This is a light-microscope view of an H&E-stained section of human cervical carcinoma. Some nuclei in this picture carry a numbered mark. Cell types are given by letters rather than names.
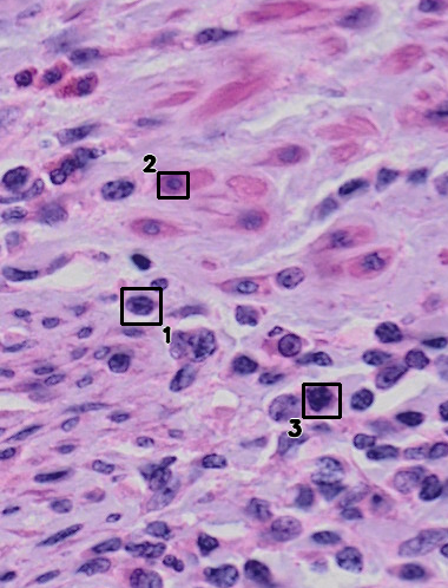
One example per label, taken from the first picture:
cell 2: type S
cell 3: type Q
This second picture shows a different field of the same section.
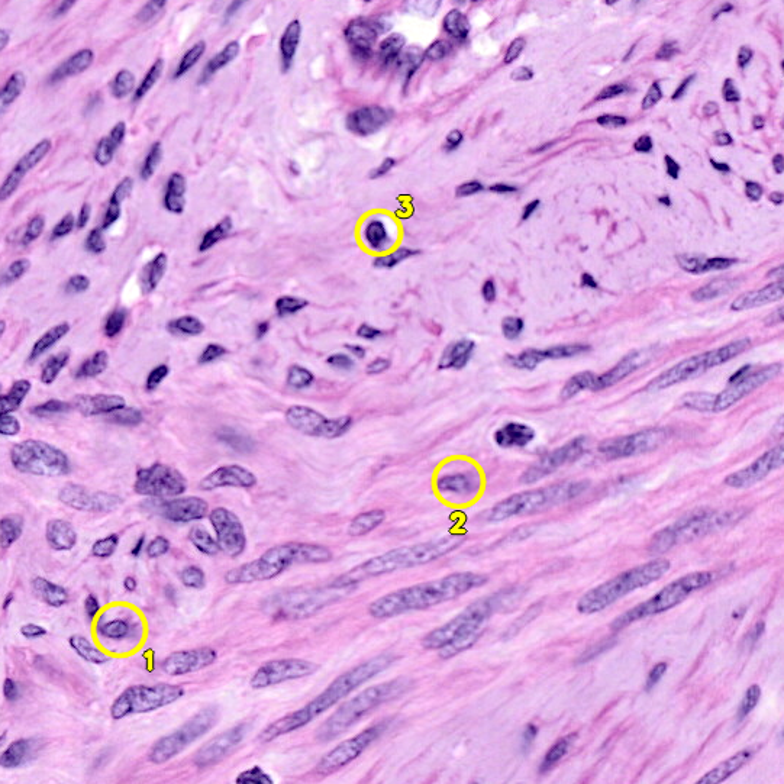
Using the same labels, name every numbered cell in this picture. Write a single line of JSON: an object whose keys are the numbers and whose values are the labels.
{"1": "type S", "2": "type S", "3": "type Q"}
